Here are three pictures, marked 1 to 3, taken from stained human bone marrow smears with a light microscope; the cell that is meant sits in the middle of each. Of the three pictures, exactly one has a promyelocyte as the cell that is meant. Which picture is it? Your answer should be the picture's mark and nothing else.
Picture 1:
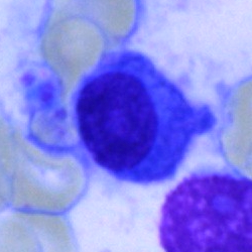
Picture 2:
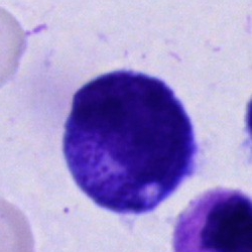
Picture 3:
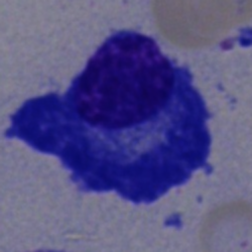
2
